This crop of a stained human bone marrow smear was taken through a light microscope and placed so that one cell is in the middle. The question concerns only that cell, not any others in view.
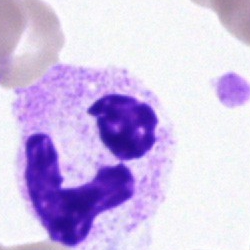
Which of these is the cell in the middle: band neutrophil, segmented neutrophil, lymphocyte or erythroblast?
segmented neutrophil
